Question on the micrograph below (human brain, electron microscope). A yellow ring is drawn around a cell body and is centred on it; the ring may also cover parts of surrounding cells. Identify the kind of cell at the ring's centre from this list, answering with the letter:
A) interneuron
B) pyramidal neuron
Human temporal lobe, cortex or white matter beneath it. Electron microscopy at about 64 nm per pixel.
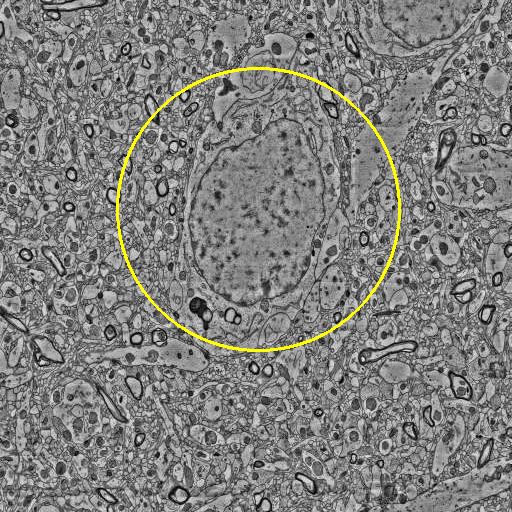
A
